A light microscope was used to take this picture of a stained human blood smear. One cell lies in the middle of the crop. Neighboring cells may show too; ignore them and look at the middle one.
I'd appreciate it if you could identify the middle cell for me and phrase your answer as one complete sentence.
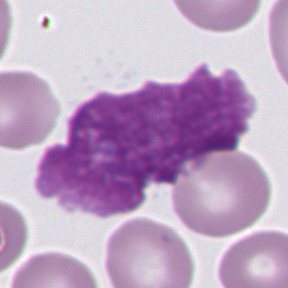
In the centre of this crop there is a smudge cell.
